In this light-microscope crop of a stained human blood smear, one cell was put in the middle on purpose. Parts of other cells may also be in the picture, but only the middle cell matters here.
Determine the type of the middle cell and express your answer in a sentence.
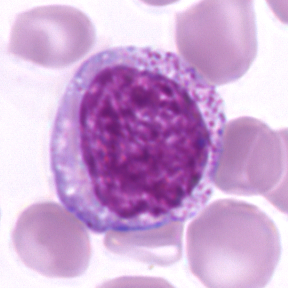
The cell at the middle of the crop is recognized as a myelocyte.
